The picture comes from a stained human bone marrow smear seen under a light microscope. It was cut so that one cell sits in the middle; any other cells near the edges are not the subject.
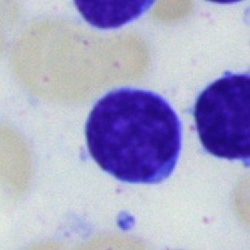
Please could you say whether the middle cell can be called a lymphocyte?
yes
